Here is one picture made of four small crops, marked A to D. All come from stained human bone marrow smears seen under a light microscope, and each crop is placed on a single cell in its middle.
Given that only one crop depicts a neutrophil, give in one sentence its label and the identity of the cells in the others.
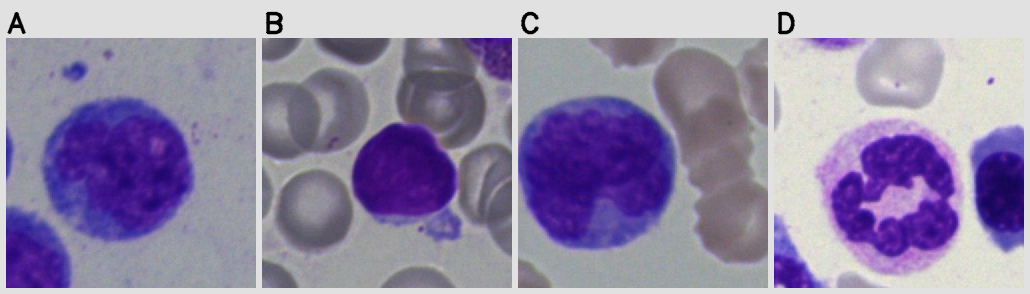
The labels are: crop D is a neutrophil, and crop A is a blast, crop B is a lymphocyte and crop C is a monocyte.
